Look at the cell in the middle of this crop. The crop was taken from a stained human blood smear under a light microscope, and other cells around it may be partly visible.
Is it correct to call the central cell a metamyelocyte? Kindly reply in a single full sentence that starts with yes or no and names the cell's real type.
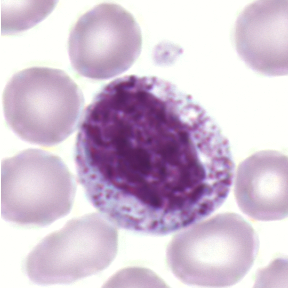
Yes, it is a metamyelocyte that lies in the middle.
